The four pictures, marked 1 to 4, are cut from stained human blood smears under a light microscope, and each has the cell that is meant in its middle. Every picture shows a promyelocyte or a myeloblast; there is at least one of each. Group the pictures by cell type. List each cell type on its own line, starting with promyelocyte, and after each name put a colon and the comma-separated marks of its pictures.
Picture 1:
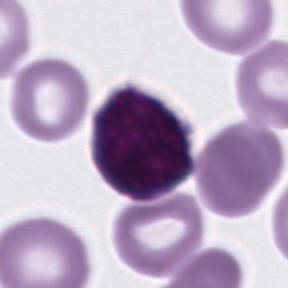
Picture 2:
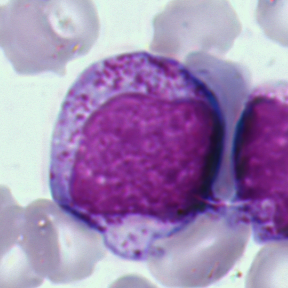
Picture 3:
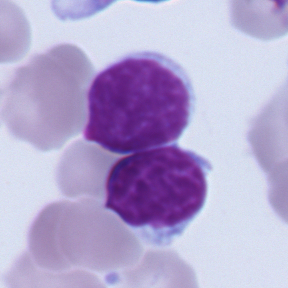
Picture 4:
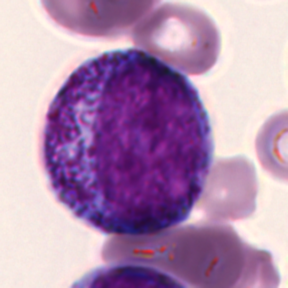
promyelocyte: 2, 4
myeloblast: 1, 3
